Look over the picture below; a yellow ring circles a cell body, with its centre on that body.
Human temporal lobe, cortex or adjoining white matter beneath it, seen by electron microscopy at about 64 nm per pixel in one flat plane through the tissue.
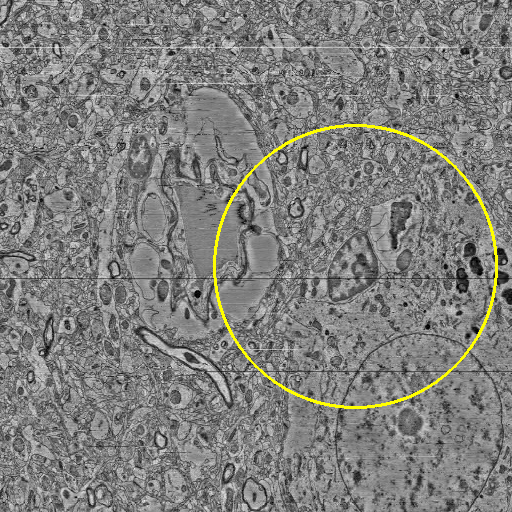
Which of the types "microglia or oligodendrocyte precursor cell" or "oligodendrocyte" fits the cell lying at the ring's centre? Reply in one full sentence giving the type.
The picture shows a microglial cell or oligodendrocyte precursor cell at the centre of the yellow ring.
